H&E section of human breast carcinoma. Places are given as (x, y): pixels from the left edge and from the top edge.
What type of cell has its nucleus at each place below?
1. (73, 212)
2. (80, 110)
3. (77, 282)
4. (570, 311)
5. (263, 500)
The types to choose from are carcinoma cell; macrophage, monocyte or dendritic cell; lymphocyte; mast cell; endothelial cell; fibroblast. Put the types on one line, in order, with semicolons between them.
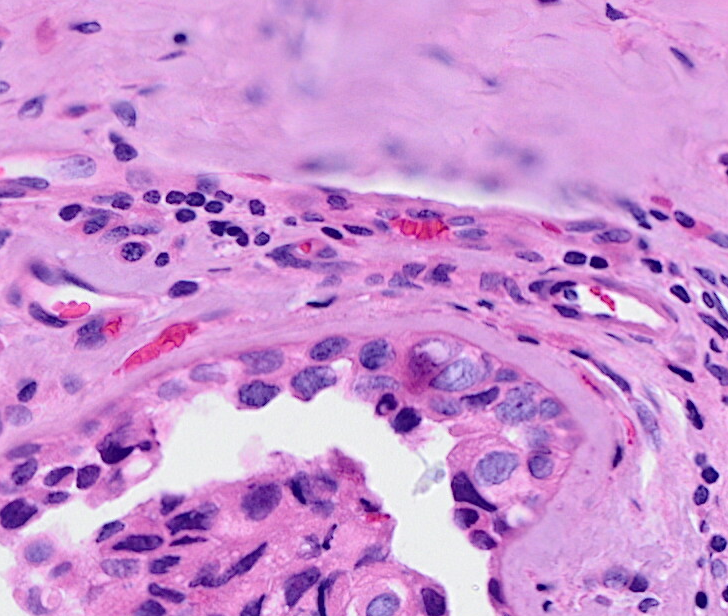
lymphocyte; mast cell; endothelial cell; endothelial cell; carcinoma cell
